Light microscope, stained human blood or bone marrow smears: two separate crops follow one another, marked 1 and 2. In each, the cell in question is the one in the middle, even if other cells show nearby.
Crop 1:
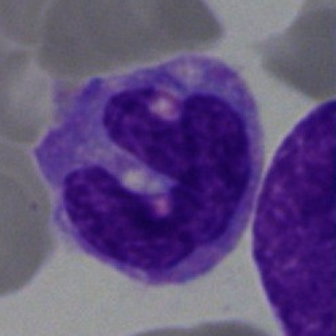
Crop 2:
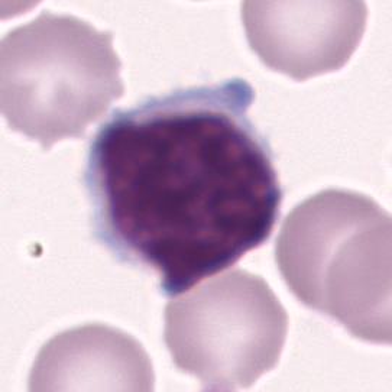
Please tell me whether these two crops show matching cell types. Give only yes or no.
no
